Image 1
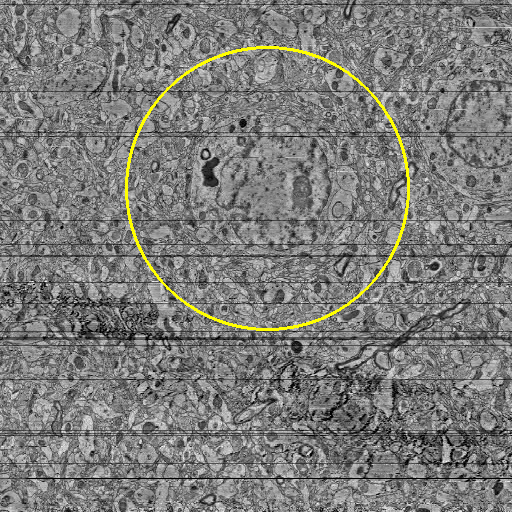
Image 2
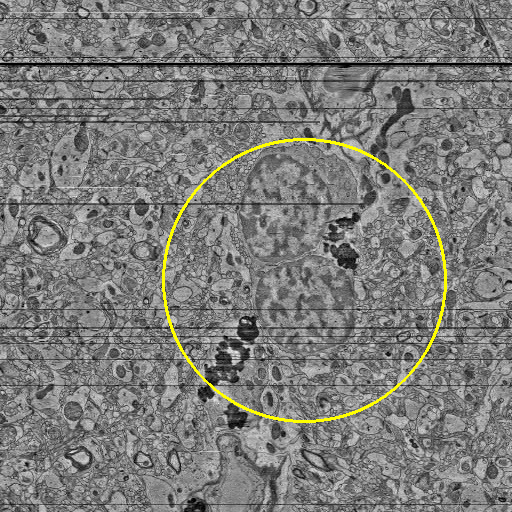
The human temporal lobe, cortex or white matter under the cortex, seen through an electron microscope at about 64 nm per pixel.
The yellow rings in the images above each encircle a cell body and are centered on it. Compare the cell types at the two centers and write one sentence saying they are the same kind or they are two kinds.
Taken together, the two cells at the ring centers are two kinds.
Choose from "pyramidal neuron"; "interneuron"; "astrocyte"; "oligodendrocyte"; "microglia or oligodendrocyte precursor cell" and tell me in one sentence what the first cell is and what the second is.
What the first ring is centred on is an interneuron; what the second ring is centred on is an oligodendrocyte.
